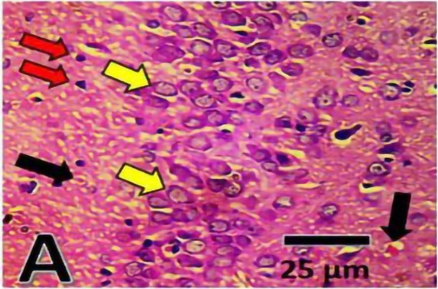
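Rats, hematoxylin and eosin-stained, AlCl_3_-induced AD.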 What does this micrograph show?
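A band of closely packed large rounded cells with pale round nuclei, each with a dark nucleolus and a rim of purplish cytoplasm, runs through pale pink fibrous tissue, with small dark nuclei scattered around it. These are pyramidal neurons of the hippocampus with ordinary looks, and the small scattered dark nuclei are glial cells.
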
